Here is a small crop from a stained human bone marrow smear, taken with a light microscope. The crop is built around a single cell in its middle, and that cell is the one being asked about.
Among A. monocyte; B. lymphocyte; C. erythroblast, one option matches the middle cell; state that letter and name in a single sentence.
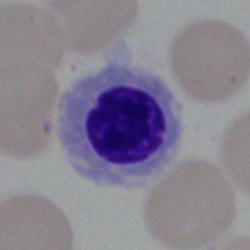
The cell at the centre is an erythroblast, and option C accordingly is correct.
